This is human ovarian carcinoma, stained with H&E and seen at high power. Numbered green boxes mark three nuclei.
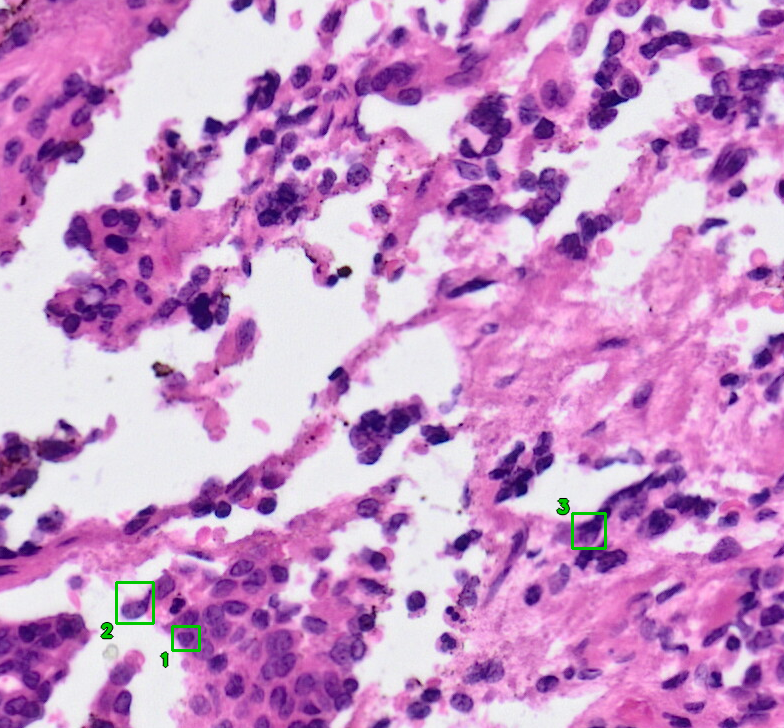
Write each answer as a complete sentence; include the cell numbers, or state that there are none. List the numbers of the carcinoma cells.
The cells that have been numbered 1 and 3 are carcinoma cells.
